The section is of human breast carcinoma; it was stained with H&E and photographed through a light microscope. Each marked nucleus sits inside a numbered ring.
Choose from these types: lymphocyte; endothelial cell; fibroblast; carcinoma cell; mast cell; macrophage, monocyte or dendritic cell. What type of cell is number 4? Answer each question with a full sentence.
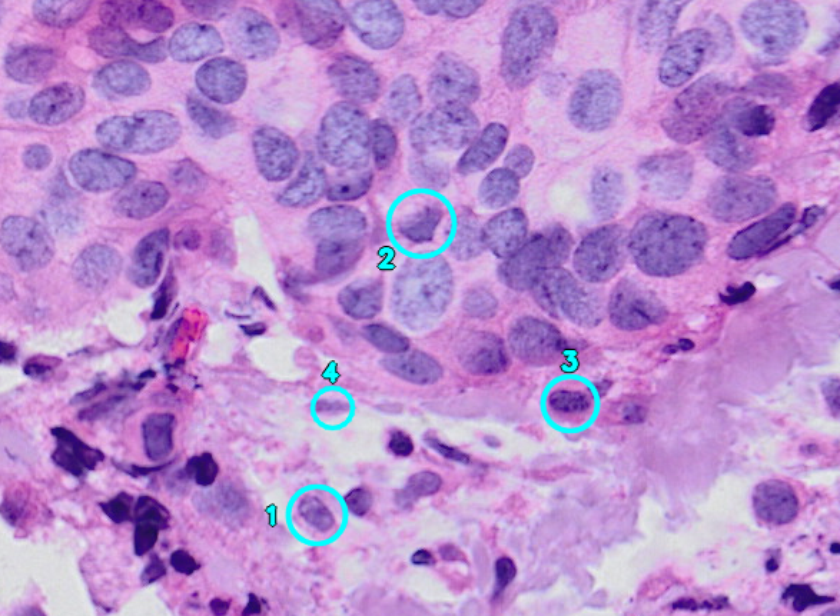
Corresponding to a fibroblast is the cell labelled 4.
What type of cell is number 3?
Cell 3, as marked in the section, is a mast cell.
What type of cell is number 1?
The cell assigned the number 1 is a macrophage, monocyte or dendritic cell.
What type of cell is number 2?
The cell numbered 2 represents a carcinoma cell.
